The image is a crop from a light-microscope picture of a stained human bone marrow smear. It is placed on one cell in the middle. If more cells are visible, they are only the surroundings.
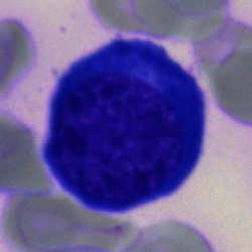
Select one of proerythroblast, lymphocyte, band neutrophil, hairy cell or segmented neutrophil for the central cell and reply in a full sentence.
To answer, the cell in the center of the crop is a proerythroblast.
